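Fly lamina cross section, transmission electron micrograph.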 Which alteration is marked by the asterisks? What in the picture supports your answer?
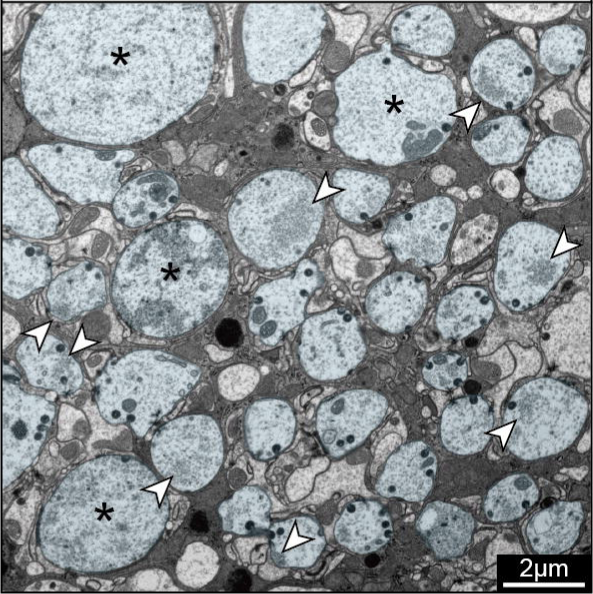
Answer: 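The profiles marked by asterisks are much larger than the surrounding blue profiles. On this evidence: Swollen presynaptic terminals.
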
